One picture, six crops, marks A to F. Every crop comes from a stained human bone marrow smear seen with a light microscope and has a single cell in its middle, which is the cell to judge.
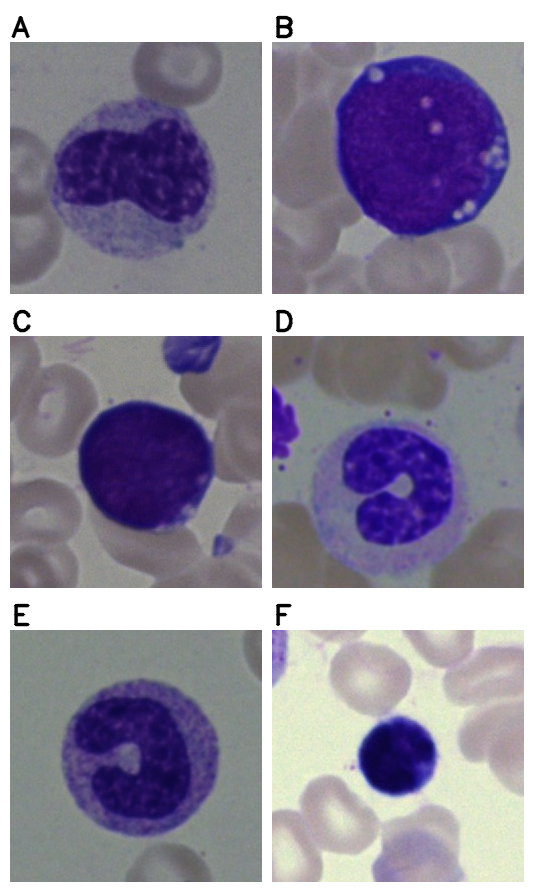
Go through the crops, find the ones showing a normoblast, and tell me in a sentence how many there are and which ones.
As none of the crops shows normoblasts, the number counted is zero.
